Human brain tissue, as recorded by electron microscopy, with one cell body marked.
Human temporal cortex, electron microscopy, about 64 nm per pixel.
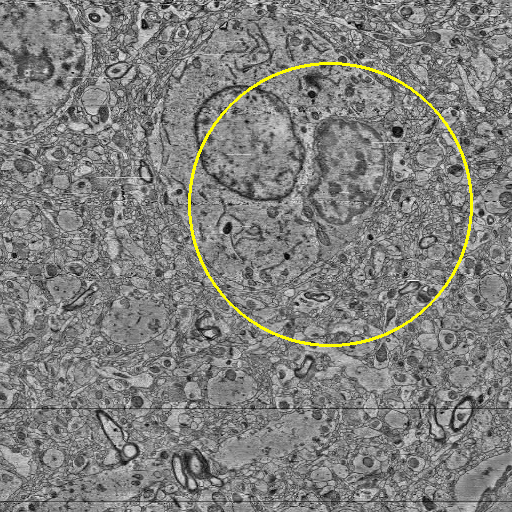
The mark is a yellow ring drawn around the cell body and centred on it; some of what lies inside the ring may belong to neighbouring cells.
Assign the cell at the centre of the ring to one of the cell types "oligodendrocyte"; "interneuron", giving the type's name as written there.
oligodendrocyte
